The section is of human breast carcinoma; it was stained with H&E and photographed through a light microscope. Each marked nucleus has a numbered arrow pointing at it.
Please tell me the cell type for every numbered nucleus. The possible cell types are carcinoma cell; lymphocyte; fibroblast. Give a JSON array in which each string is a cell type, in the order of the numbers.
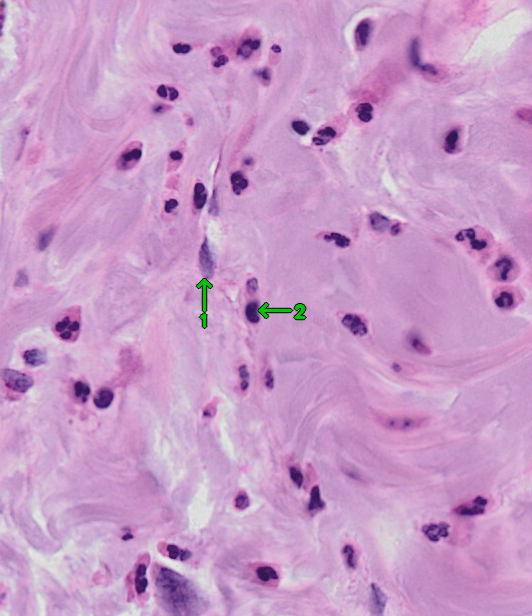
["fibroblast", "lymphocyte"]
